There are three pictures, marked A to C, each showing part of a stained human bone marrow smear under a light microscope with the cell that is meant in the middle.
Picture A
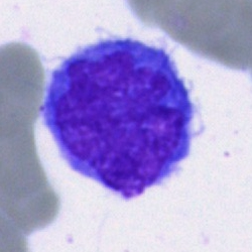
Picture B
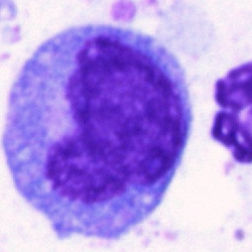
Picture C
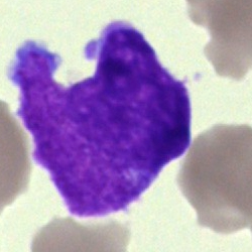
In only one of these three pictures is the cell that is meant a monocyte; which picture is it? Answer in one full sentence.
The picture with the monocyte is B.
